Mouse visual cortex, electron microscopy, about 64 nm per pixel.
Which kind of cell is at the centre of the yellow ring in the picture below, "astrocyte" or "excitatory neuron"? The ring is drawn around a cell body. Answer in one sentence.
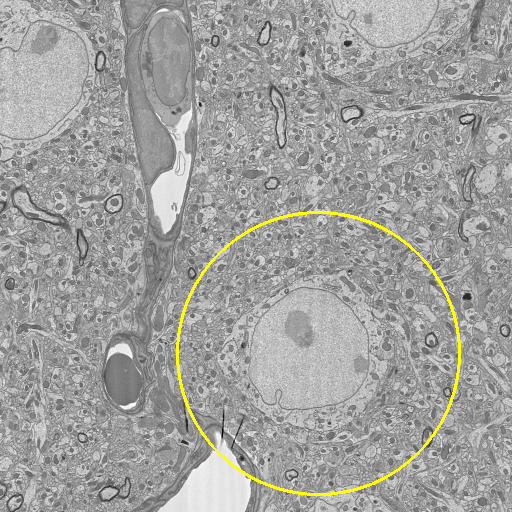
The ring's central cell is an excitatory neuron.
